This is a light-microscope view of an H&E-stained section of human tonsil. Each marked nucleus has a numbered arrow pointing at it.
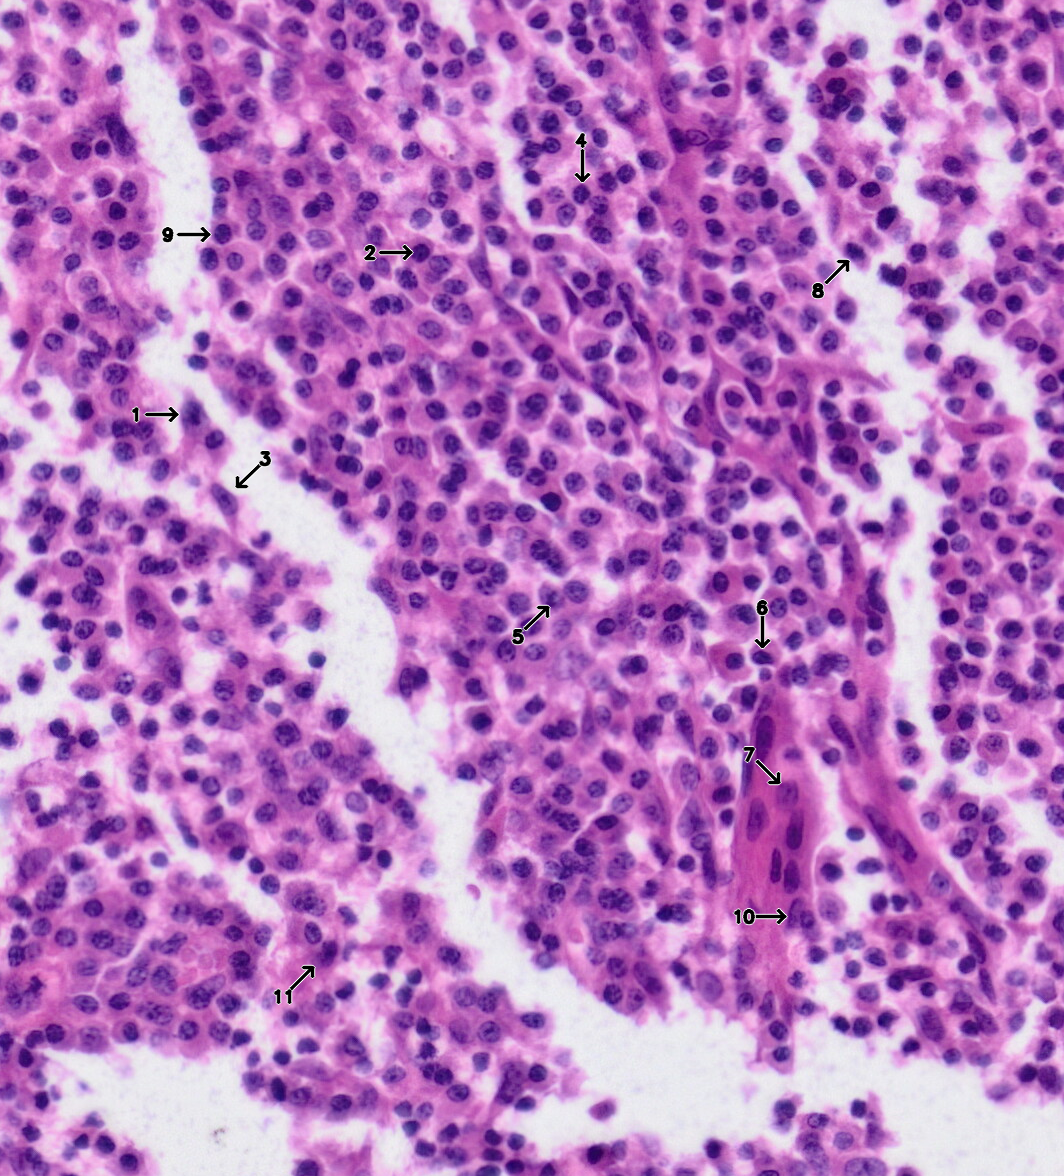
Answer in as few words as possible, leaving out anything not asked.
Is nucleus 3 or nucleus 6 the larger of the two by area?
3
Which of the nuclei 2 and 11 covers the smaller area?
2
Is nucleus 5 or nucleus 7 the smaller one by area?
5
